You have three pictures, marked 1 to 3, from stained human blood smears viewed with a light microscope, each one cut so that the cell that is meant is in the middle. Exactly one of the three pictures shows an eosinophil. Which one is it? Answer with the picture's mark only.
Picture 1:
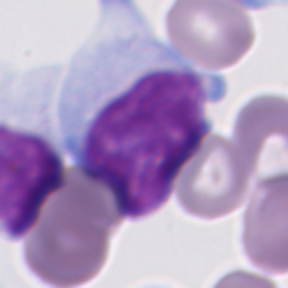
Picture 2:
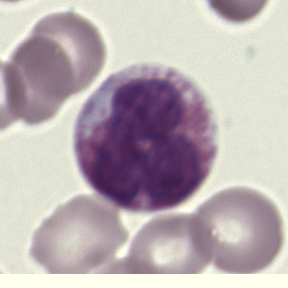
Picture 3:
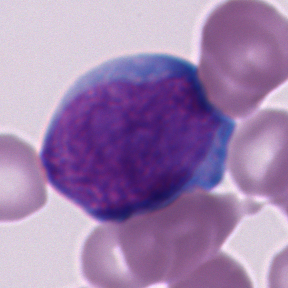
2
